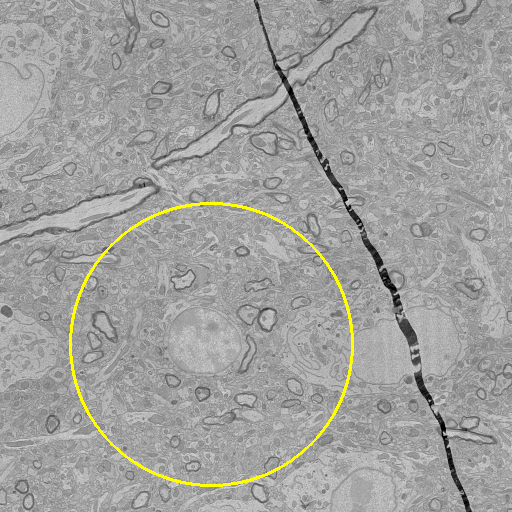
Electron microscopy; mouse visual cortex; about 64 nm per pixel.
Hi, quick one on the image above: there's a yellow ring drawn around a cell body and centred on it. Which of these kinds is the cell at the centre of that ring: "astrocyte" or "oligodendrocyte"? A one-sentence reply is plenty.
The cell at the centre of the ring is an oligodendrocyte.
